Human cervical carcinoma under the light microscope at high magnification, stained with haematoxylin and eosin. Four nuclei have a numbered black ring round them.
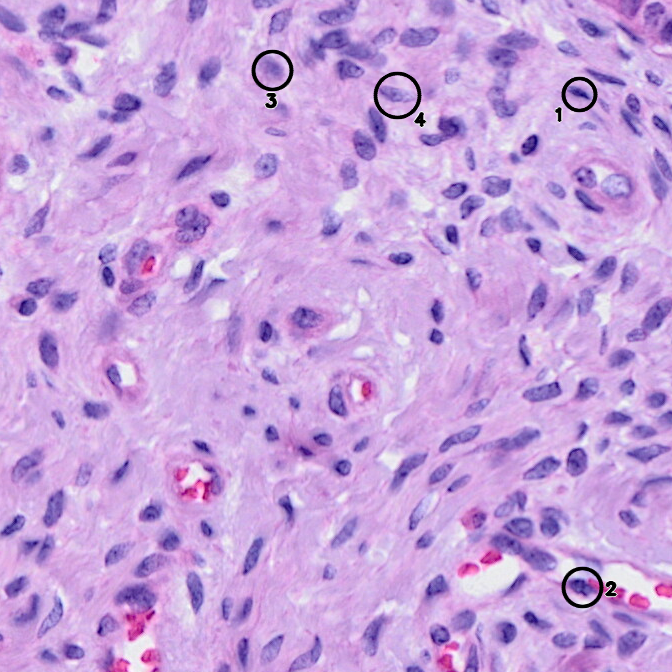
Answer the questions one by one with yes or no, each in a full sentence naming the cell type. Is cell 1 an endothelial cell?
No; cell 1 is a fibroblast, not an endothelial cell.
